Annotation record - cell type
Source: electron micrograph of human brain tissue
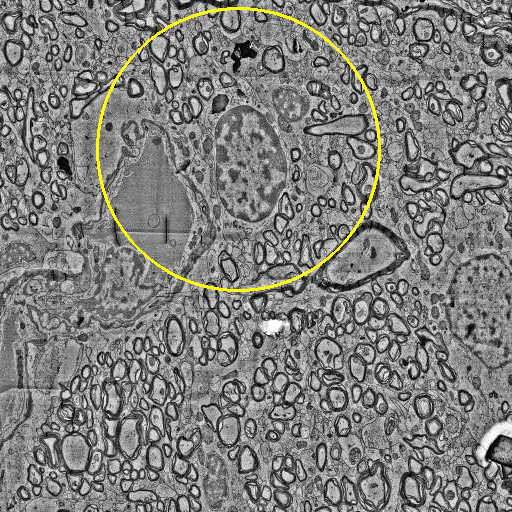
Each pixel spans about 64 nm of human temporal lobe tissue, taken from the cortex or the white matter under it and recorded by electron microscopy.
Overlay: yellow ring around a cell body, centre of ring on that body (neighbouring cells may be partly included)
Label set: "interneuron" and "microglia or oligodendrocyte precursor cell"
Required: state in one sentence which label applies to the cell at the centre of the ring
This cell should be labelled as a microglial cell or oligodendrocyte precursor cell.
